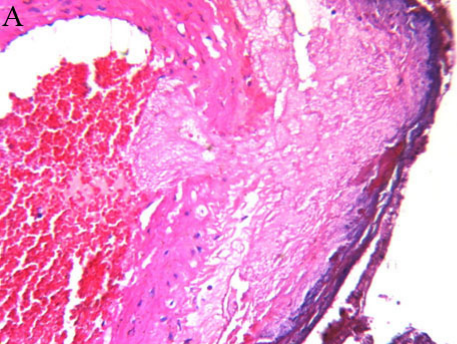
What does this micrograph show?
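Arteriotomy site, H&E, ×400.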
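A dense mass of closely packed red blood cells fills the left side, bordered by a thick layer of pink tissue with scattered small nuclei. Within this layer lies a broad zone of pale pink, amorphous, finely fibrillar material. Along the right-hand edge, the tissue takes on a dark purple-blue tint, unlike the pink of the rest.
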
